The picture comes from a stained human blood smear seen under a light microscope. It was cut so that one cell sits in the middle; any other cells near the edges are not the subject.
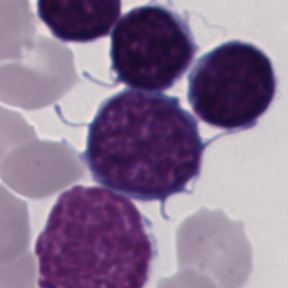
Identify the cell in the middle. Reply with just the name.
blast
